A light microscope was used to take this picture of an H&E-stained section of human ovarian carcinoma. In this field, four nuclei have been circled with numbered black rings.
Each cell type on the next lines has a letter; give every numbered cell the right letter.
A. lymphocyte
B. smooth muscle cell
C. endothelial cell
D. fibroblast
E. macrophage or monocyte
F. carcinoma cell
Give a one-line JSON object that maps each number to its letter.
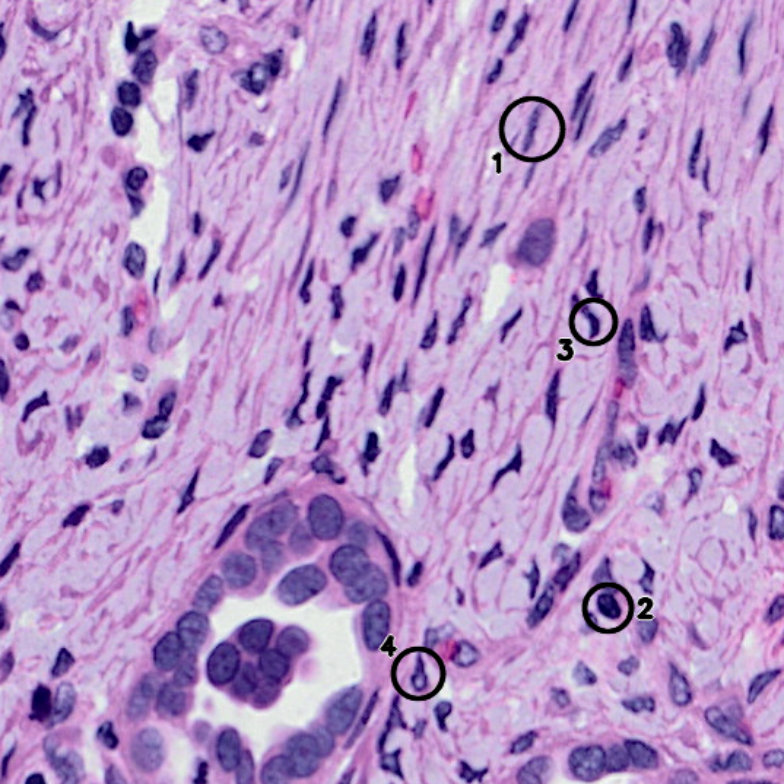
{"1": "D", "2": "A", "3": "D", "4": "D"}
